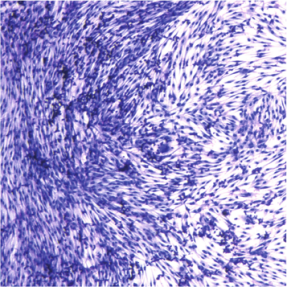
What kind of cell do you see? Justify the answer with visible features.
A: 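Fibroblasts. Densely packed elongated spindle-shaped cells stained blue-violet. Cells aligned in parallel, swirling streams.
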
